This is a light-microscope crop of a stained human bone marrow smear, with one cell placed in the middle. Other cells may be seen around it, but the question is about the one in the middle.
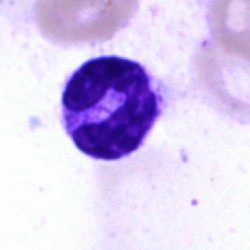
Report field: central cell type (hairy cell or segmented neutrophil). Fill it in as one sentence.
By type, the central cell of the crop is a segmented neutrophil.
